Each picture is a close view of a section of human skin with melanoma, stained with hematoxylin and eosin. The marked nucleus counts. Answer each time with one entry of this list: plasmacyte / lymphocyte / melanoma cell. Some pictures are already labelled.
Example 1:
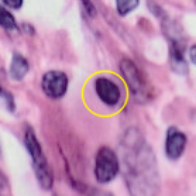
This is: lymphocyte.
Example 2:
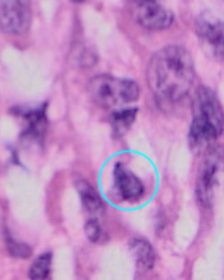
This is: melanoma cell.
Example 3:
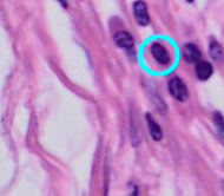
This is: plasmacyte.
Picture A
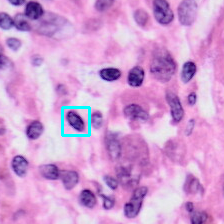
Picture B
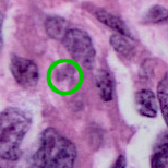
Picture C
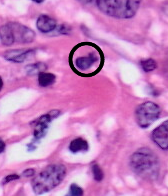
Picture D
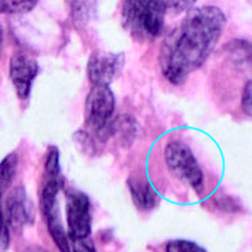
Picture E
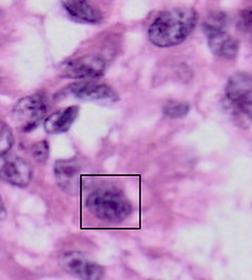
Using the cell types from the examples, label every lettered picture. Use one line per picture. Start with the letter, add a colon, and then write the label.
A: lymphocyte.
B: melanoma cell.
C: lymphocyte.
D: melanoma cell.
E: melanoma cell.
